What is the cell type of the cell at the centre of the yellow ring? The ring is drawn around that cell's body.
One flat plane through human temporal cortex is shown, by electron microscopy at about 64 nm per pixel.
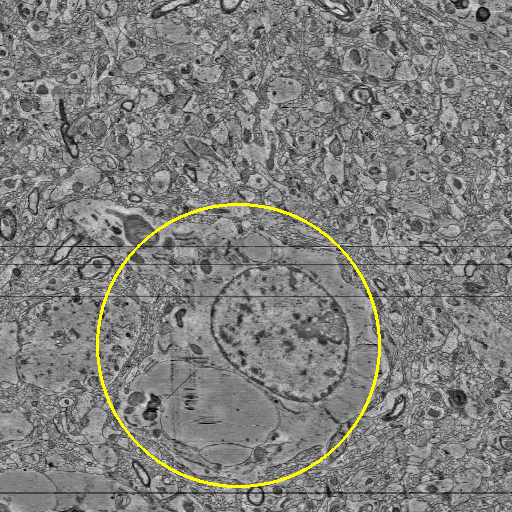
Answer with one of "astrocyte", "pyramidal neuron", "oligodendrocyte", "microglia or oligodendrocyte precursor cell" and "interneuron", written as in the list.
astrocyte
